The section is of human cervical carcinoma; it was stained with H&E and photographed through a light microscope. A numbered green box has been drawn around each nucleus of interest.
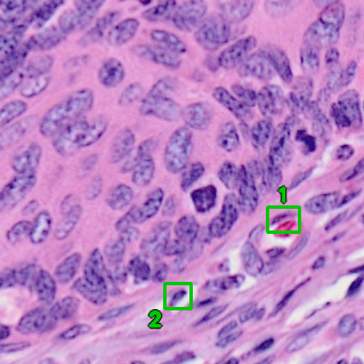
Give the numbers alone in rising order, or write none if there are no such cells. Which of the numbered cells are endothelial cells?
1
